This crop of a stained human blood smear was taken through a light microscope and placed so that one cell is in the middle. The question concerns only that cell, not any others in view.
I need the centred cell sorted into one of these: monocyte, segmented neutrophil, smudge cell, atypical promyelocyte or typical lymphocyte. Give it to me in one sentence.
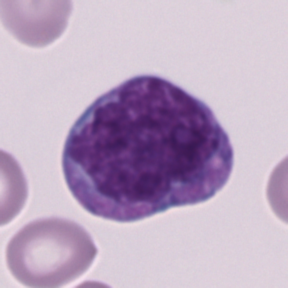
The cell the crop is centered on is an atypical promyelocyte.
